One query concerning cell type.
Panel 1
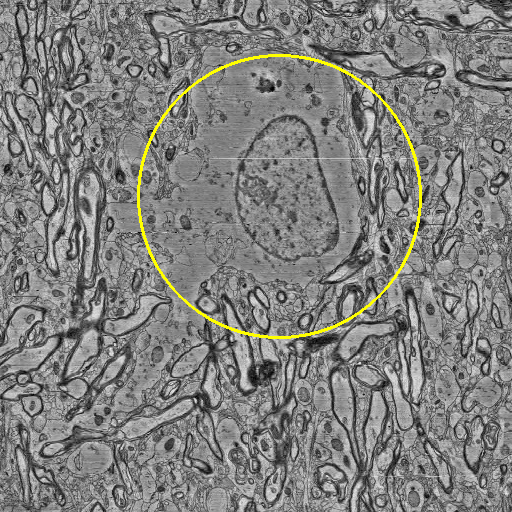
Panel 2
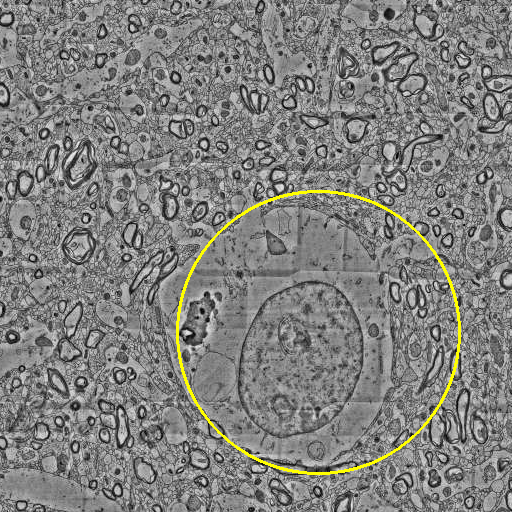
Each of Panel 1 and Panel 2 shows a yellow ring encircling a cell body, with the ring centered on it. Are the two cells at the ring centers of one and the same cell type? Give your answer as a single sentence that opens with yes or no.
Yes, the cell centered in Panel 1 and the one in Panel 2 share a type.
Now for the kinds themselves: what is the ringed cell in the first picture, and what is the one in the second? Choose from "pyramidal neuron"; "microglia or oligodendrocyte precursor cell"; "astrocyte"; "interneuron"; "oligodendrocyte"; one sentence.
The cell in the first picture is an astrocyte, and so is the one in the second.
